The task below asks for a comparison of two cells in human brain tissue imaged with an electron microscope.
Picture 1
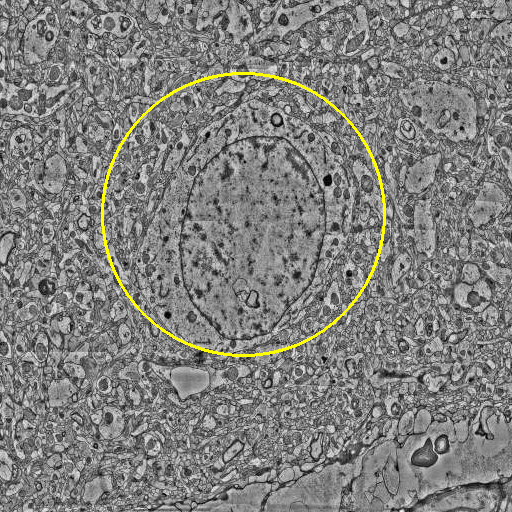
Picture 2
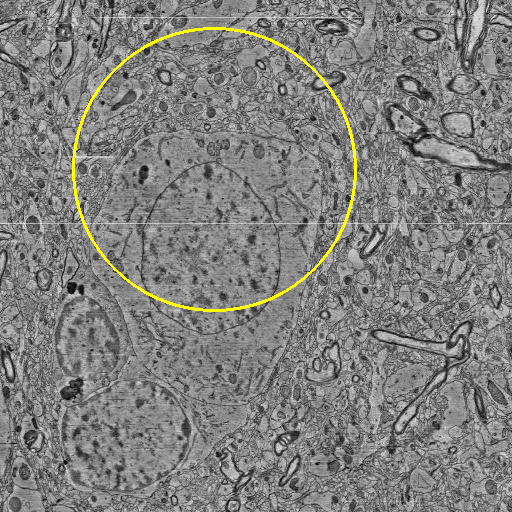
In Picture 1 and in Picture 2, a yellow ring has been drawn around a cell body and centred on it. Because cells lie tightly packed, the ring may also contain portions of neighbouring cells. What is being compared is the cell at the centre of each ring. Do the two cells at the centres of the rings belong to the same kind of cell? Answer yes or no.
yes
